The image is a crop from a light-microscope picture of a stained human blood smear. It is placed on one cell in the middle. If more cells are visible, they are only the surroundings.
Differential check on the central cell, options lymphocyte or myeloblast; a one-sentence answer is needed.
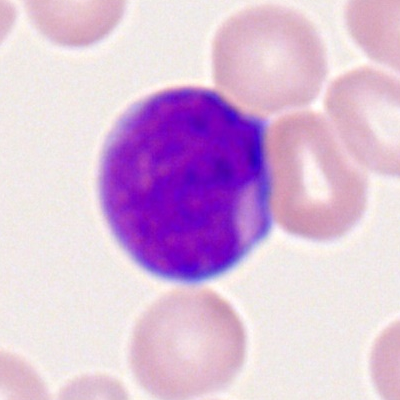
In the central position of this crop, the cell is a myeloblast.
